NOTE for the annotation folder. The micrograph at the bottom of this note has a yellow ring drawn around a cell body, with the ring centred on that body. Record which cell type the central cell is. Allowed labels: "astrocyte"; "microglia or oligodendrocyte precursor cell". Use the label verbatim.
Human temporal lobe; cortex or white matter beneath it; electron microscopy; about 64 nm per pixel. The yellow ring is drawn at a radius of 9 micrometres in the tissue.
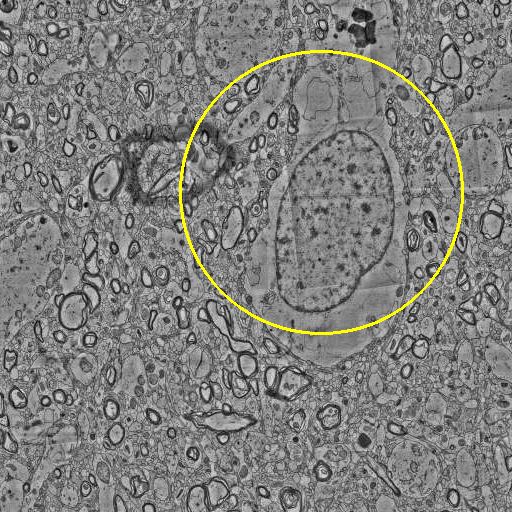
astrocyte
